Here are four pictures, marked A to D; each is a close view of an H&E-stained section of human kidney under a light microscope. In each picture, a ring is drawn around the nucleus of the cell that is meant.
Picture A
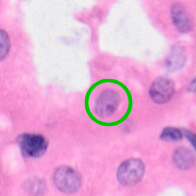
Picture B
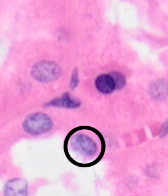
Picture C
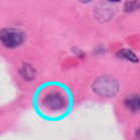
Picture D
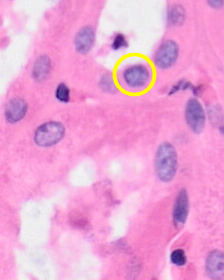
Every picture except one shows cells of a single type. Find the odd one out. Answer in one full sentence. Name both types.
All pictures except A show “loop of Henle or distal tubule cells”; picture A shows a proximal tubule cell.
